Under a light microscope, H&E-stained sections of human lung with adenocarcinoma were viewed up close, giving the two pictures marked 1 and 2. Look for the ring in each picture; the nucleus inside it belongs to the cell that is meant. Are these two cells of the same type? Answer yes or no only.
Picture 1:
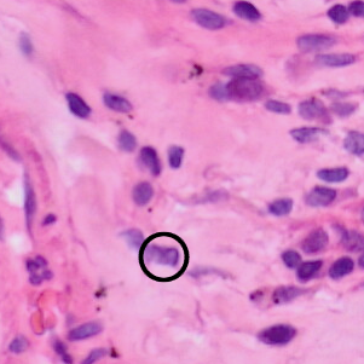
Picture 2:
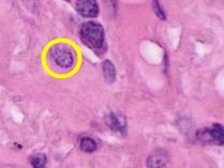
no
